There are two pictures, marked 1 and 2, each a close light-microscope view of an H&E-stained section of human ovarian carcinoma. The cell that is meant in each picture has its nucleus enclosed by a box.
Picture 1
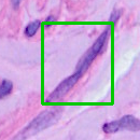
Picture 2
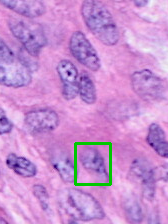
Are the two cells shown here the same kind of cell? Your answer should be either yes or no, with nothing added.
no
